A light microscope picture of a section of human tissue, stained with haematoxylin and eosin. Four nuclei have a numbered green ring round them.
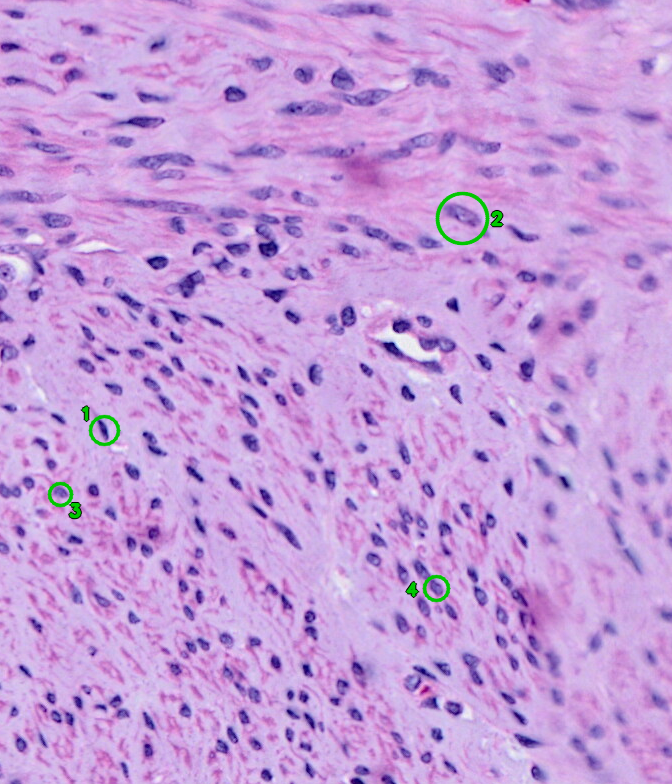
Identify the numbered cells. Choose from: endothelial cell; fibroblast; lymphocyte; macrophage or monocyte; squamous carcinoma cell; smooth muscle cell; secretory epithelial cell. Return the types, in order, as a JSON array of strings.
["fibroblast", "smooth muscle cell", "smooth muscle cell", "smooth muscle cell"]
